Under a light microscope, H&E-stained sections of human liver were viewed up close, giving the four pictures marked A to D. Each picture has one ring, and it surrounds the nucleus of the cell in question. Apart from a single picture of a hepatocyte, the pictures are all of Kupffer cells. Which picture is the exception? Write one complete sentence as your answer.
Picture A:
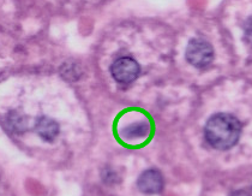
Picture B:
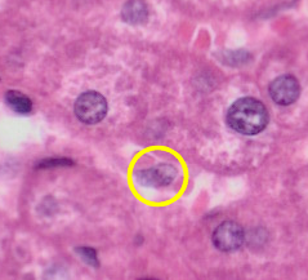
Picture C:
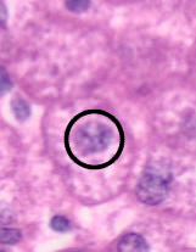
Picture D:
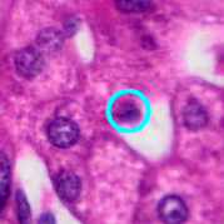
Picture C shows the hepatocyte.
